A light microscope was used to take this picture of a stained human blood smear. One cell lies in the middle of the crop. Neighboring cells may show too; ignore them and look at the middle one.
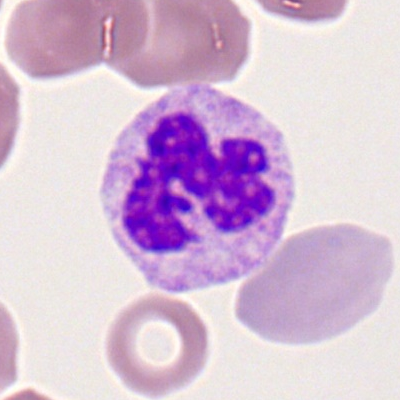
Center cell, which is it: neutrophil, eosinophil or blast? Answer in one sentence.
This crop's central cell is a neutrophil.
